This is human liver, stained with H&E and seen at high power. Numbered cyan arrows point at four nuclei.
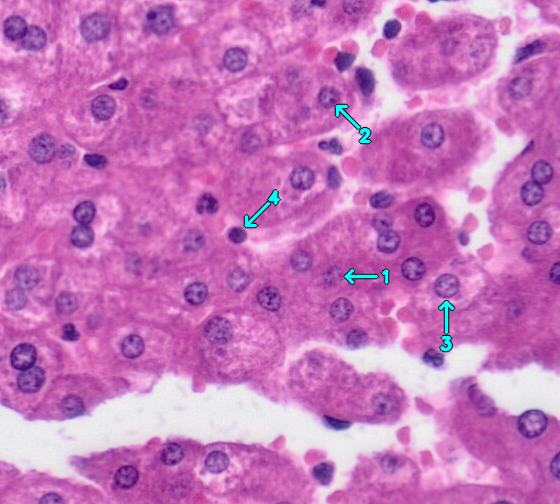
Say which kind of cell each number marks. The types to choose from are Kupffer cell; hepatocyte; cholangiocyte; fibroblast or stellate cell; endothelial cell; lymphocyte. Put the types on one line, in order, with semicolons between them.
hepatocyte; hepatocyte; hepatocyte; lymphocyte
